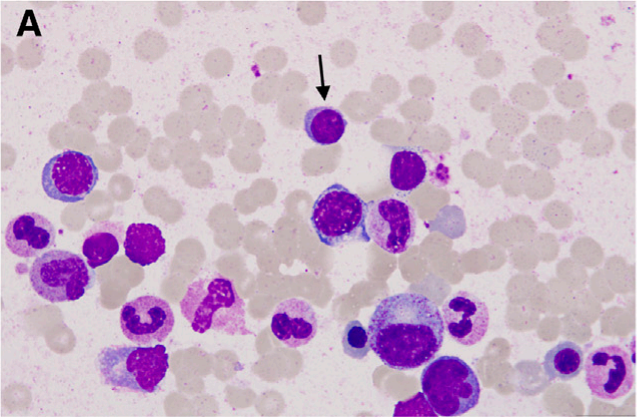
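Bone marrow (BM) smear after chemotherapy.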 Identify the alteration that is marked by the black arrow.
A: Plasmacytoid change of lymphocytes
